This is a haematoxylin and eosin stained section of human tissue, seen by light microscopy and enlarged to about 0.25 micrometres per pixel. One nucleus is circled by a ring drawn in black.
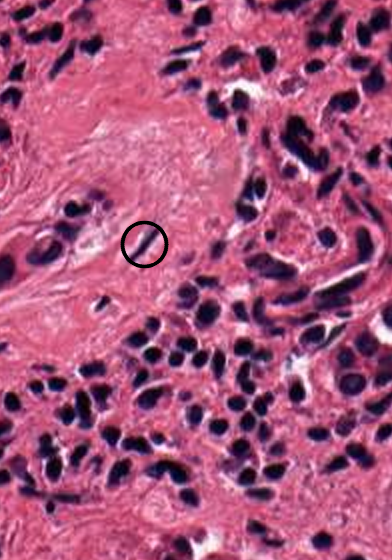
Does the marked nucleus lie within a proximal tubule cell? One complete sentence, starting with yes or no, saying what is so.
No, instead of being part of a proximal tubule cell, the marked nucleus is part of a supporting cell.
